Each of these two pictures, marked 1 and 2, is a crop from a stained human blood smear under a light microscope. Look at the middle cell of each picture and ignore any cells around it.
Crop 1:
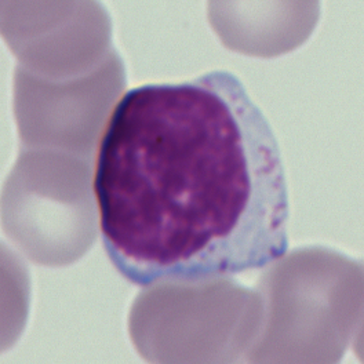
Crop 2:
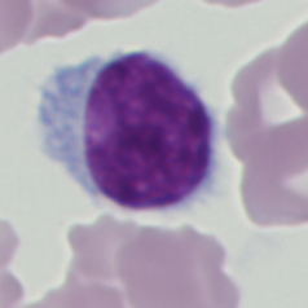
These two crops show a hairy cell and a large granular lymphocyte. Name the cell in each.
1: large granular lymphocyte
2: hairy cell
